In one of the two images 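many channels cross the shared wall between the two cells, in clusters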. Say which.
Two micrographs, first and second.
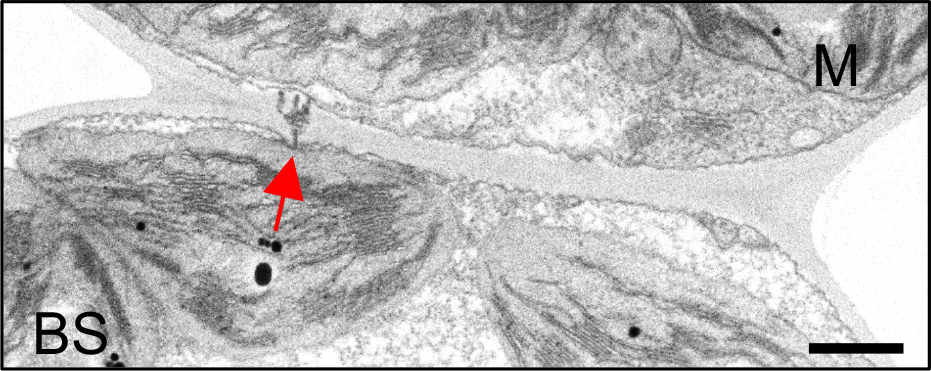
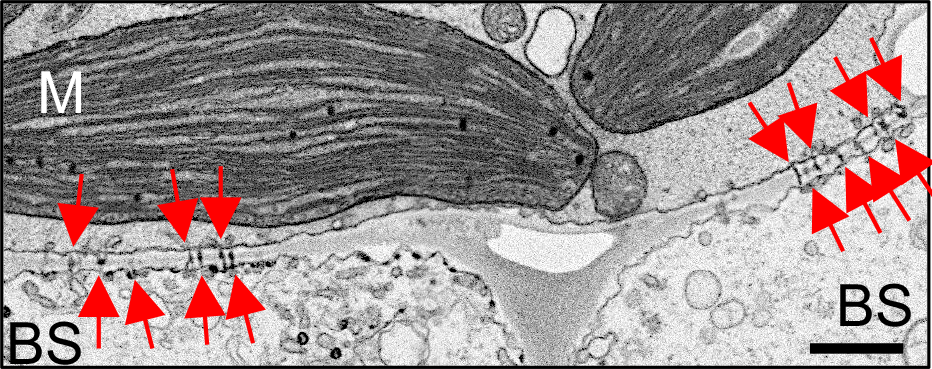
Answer: the second image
